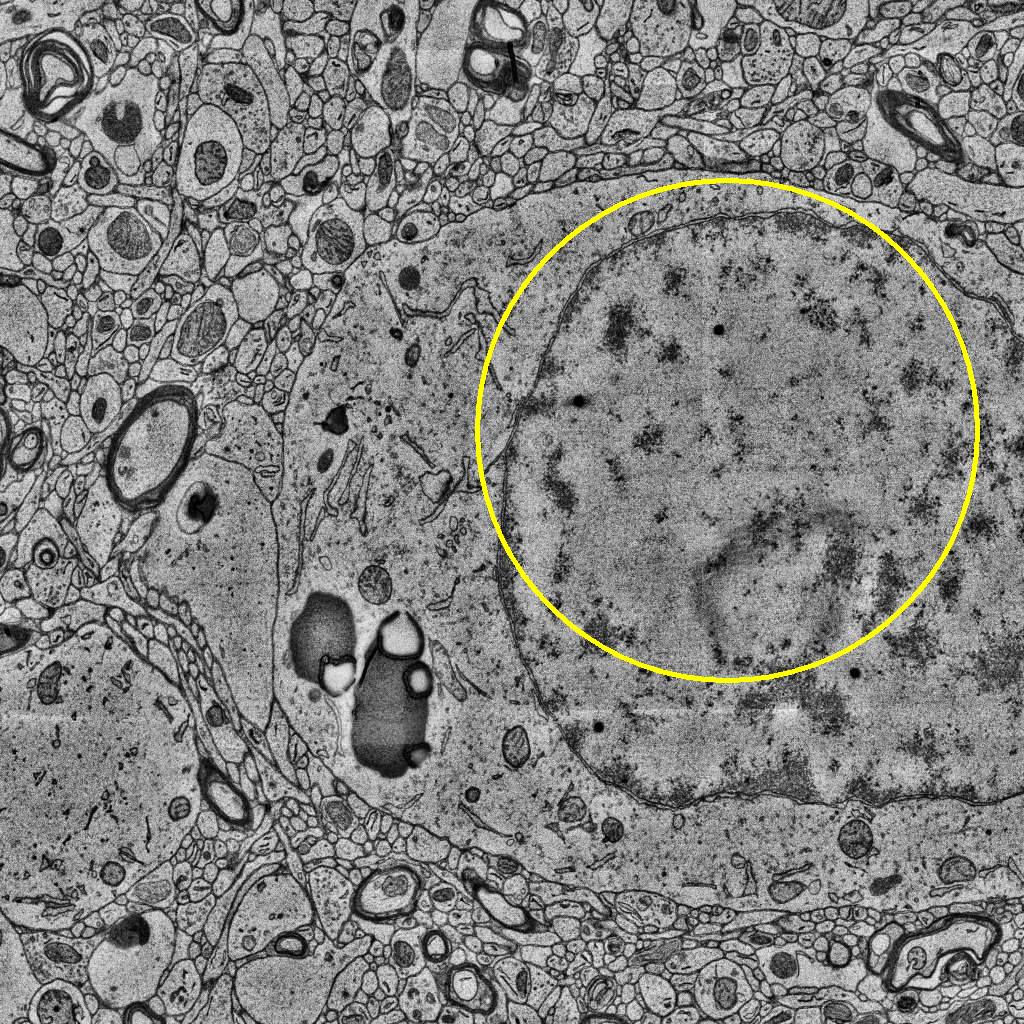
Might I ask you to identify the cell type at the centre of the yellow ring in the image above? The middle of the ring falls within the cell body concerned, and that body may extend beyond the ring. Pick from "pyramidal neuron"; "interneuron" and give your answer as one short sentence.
The centre of the ring falls on an interneuron.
